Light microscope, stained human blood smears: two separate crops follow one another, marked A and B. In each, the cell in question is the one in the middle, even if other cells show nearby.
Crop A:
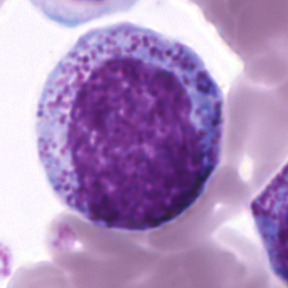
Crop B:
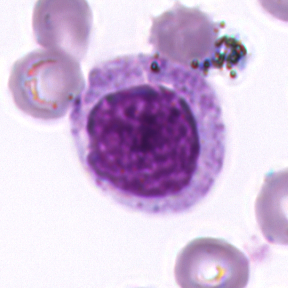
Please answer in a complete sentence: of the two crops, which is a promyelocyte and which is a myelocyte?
Respectively, crops A and B show a promyelocyte and a myelocyte.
